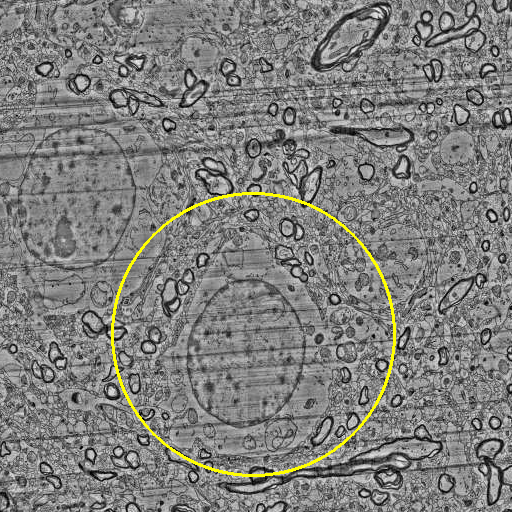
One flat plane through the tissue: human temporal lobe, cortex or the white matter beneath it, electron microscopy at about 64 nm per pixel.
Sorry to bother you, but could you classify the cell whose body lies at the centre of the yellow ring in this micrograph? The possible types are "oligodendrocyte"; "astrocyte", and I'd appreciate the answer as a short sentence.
The ringed cell body is that of an astrocyte.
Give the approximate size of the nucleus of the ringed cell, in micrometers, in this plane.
About 10 by 8 micrometres in this plane.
